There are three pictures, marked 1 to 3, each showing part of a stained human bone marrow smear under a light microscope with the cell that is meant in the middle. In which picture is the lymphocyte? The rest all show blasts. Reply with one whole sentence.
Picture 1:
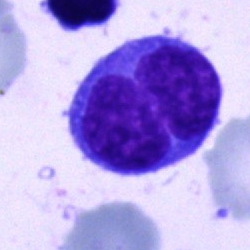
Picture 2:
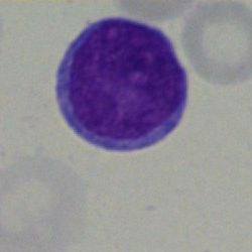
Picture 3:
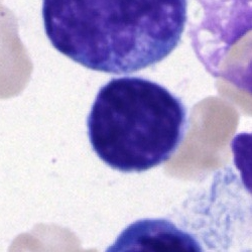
It is picture 3 that shows the lymphocyte.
